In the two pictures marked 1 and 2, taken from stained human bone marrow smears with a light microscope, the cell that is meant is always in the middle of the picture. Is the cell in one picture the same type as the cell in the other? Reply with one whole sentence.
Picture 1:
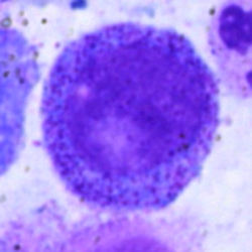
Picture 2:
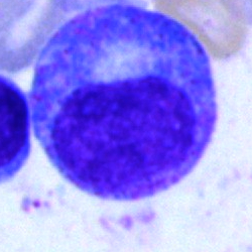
Yes, they are the same type: both are promyelocytes.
